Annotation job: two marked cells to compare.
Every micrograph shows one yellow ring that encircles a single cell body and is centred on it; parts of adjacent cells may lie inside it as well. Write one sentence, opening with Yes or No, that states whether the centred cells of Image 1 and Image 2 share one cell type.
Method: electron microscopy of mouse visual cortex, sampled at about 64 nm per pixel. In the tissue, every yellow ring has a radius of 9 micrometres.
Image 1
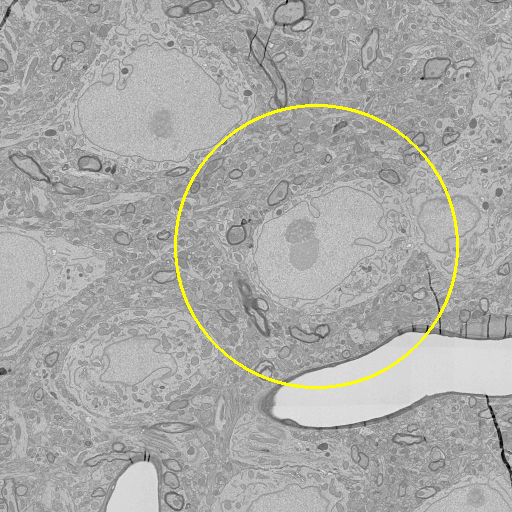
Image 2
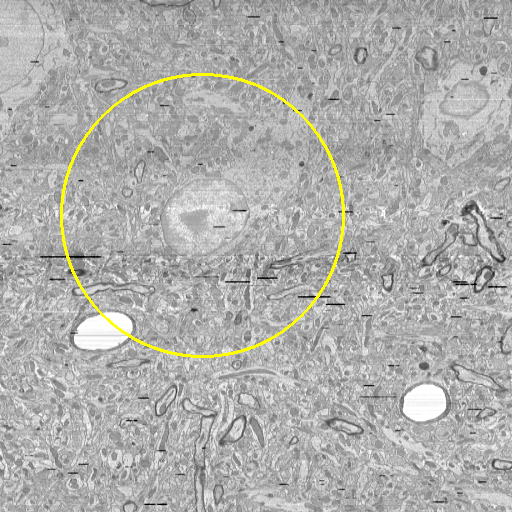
No, the cell centred in Image 1 and the cell centred in Image 2 are of two types.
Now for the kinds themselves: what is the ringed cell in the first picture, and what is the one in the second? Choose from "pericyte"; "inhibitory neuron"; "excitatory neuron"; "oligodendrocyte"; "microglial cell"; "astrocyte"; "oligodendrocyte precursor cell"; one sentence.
Here the first cell is an inhibitory neuron and the second cell is an oligodendrocyte.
